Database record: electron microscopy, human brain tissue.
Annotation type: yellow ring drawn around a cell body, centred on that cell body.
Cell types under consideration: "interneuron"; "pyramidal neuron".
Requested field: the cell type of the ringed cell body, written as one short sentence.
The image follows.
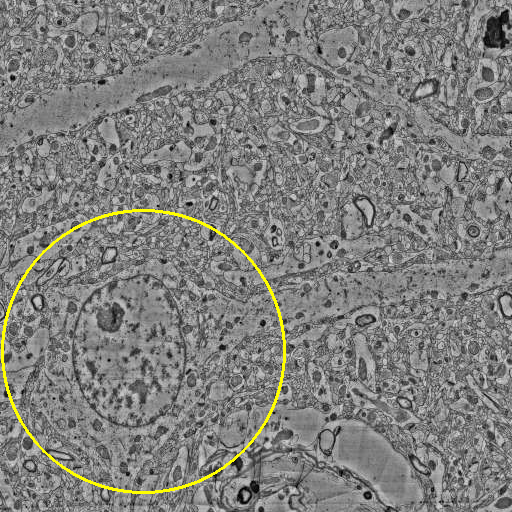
The ringed cell body represents a pyramidal neuron.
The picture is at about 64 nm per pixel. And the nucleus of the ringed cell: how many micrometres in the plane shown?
In this plane, about 10 micrometres in length and 8 in width.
